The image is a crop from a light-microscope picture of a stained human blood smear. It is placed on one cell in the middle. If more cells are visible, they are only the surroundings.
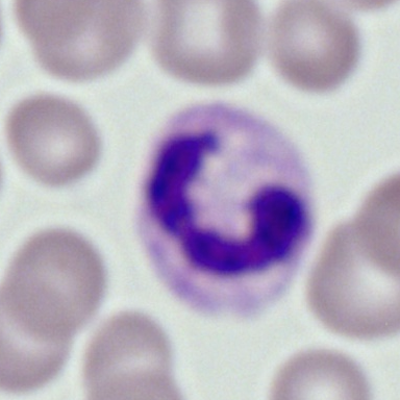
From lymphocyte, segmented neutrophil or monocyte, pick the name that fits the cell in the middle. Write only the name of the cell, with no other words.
segmented neutrophil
